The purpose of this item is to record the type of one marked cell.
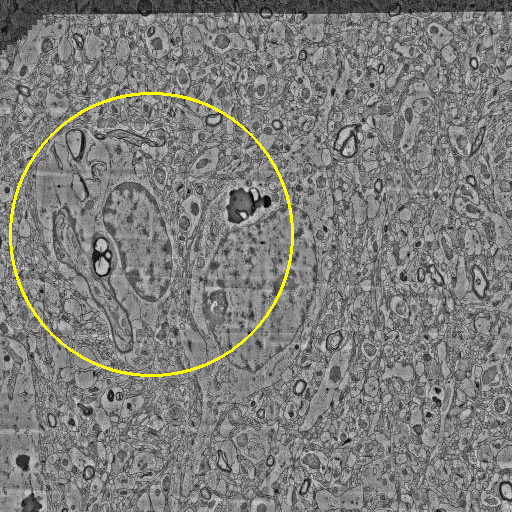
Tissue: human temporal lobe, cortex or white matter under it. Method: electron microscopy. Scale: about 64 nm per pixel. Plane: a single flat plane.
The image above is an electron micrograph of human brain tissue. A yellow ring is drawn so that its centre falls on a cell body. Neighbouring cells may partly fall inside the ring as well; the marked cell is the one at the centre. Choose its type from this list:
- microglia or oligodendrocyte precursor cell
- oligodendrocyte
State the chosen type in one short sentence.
What the ring marks here is a microglial cell or oligodendrocyte precursor cell.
